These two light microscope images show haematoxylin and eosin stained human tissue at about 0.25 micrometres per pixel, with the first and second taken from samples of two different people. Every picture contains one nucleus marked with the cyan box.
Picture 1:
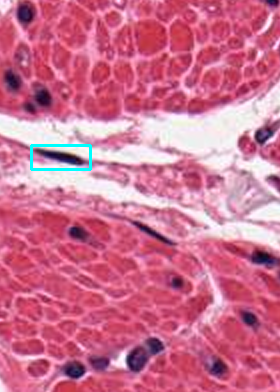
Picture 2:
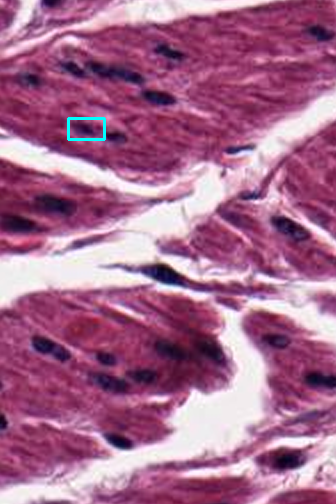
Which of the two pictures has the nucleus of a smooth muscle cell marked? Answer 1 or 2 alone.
2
